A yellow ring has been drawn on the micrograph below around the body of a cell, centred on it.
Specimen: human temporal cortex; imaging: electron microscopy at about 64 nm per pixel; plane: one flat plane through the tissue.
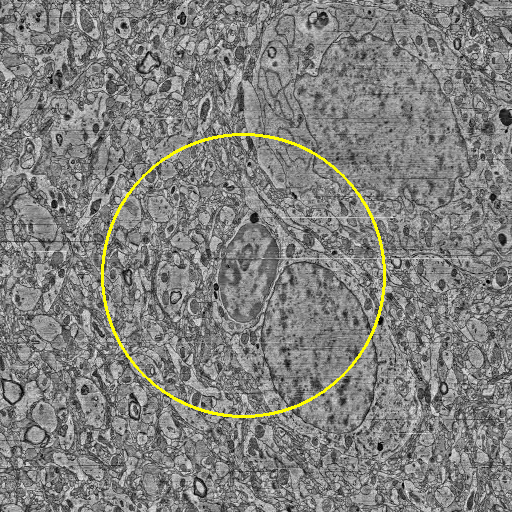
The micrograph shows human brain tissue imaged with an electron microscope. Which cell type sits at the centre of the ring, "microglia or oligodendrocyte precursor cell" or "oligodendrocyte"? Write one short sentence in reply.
The cell sitting at the centre of the ring is a microglial cell or oligodendrocyte precursor cell.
